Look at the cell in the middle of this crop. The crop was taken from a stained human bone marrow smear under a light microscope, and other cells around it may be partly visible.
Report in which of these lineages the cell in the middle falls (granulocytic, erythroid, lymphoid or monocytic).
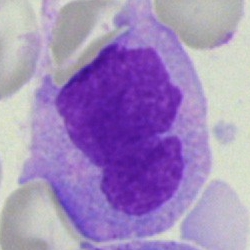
monocytic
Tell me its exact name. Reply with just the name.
monocyte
